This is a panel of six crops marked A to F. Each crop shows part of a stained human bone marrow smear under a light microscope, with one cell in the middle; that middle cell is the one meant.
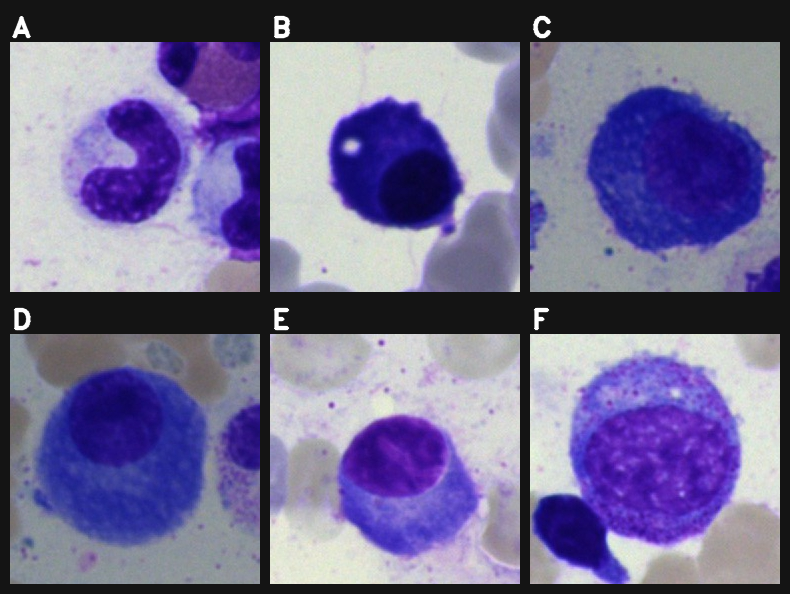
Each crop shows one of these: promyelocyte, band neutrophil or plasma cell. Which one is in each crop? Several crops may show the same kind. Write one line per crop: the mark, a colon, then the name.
A: band neutrophil
B: plasma cell
C: plasma cell
D: plasma cell
E: plasma cell
F: promyelocyte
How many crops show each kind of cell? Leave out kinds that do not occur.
plasma cell: 4
band neutrophil: 1
promyelocyte: 1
